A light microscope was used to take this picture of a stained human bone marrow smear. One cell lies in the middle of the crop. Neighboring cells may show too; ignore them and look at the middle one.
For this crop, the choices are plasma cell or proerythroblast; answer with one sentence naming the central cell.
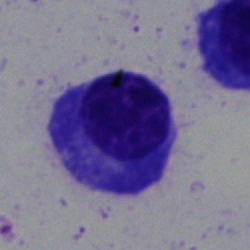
In the center of this field lies a plasma cell.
